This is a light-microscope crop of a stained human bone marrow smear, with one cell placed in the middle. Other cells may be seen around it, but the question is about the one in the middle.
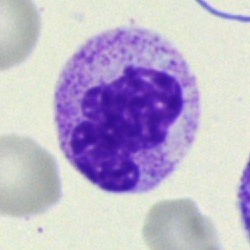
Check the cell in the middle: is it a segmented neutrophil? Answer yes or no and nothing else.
yes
